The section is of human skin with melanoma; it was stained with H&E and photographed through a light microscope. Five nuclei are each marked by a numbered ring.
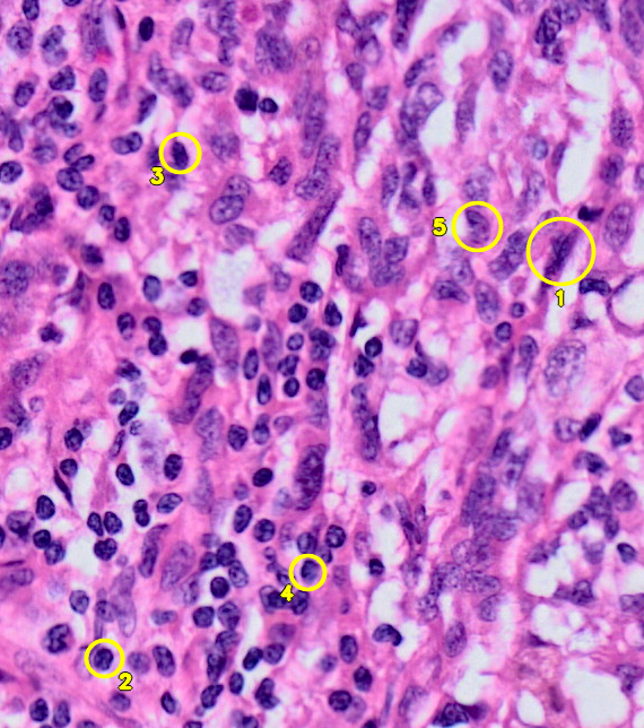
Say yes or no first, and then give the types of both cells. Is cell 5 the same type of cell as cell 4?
No, cell 5 is a melanoma cell and cell 4 is a lymphocyte.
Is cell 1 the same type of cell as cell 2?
No, cell 1 is a melanoma cell and cell 2 is a lymphocyte.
